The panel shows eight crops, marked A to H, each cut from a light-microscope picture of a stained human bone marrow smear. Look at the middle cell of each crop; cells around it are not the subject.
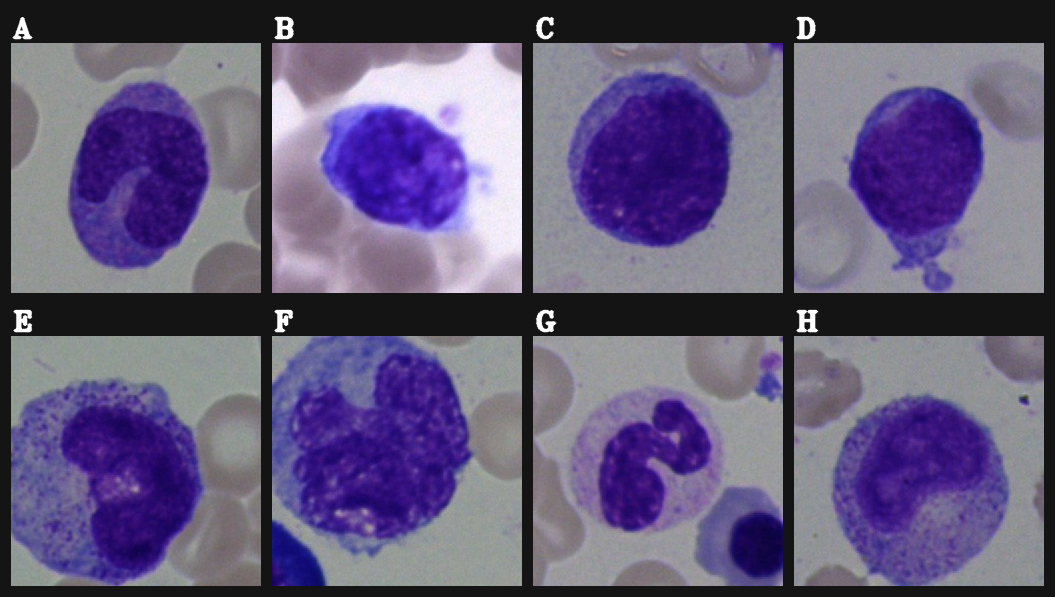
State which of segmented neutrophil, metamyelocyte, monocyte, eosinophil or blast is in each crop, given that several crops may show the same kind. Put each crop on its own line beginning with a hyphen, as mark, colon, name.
- A: monocyte
- B: monocyte
- C: blast
- D: blast
- E: metamyelocyte
- F: monocyte
- G: segmented neutrophil
- H: metamyelocyte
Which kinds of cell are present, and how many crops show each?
monocyte: 3
blast: 2
metamyelocyte: 2
segmented neutrophil: 1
